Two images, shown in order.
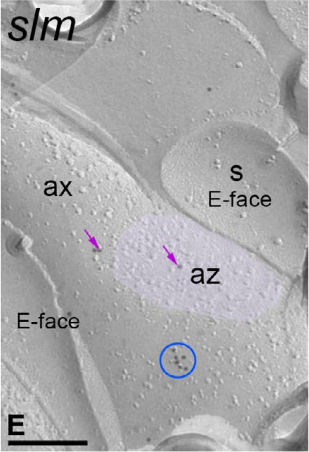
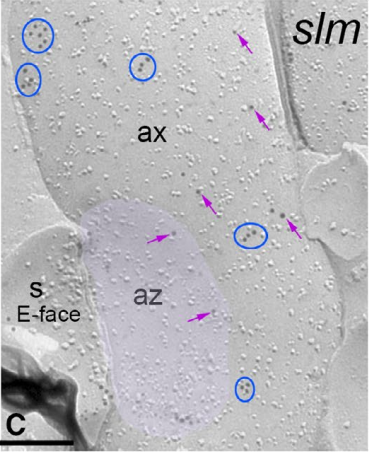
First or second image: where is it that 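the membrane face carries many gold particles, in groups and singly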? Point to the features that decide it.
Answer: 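First image: only a few dark gold particles, one small group and two single ones. Second image: many dark gold particles, several groups and many single ones across the membrane face. So: the second image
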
